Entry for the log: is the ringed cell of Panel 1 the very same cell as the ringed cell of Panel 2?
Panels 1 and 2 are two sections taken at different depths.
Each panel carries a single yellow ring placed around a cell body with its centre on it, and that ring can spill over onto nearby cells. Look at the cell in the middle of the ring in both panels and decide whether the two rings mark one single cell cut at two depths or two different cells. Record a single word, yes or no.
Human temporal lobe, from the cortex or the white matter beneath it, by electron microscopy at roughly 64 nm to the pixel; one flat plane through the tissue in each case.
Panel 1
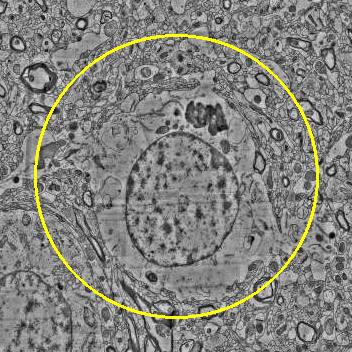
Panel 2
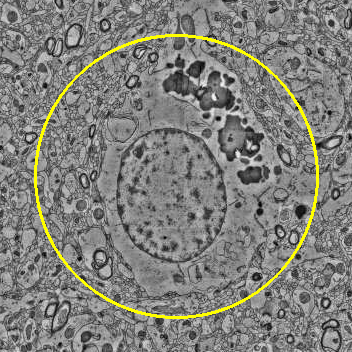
no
